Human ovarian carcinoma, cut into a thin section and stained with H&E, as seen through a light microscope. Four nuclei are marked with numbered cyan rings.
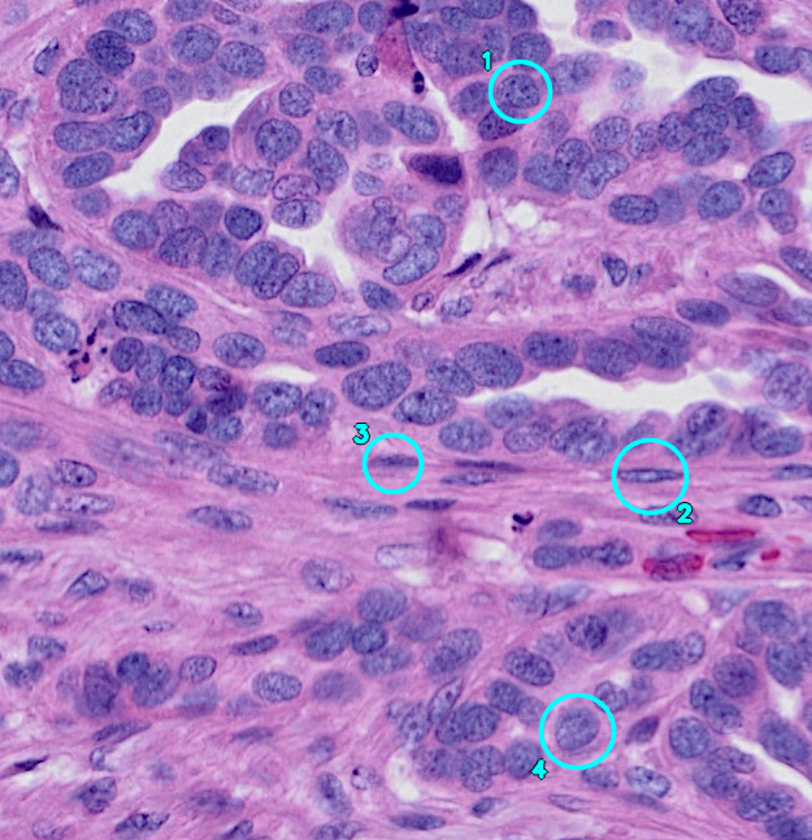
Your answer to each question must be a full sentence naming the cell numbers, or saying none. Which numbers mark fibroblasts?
The cells referred to by numbers 2 and 3 are fibroblasts.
